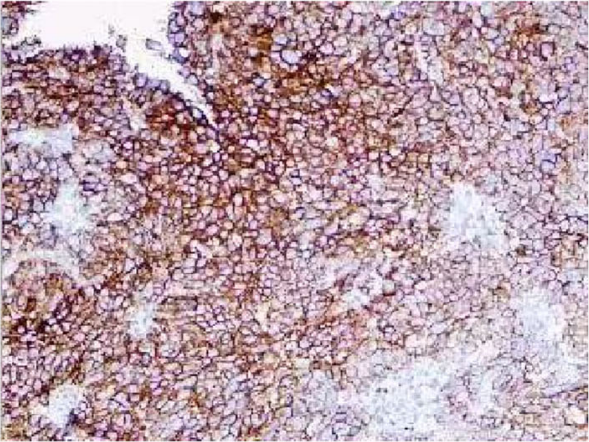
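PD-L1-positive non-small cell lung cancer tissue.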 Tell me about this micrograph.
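The cells are polygonal and crowded, each outlined by a strong brown ring along its border, giving a honeycomb or chicken-wire pattern across most of the field. Inside the rings the cytoplasm is pale and the nuclei are stained blue. The sheets are interrupted by narrow pale, largely unstained strands and patches of stroma that carry little or no brown colour. The staining is crisp and continuous around the cell perimeters rather than filling the cells, showing membranous labelling in the great majority of tumor cells.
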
